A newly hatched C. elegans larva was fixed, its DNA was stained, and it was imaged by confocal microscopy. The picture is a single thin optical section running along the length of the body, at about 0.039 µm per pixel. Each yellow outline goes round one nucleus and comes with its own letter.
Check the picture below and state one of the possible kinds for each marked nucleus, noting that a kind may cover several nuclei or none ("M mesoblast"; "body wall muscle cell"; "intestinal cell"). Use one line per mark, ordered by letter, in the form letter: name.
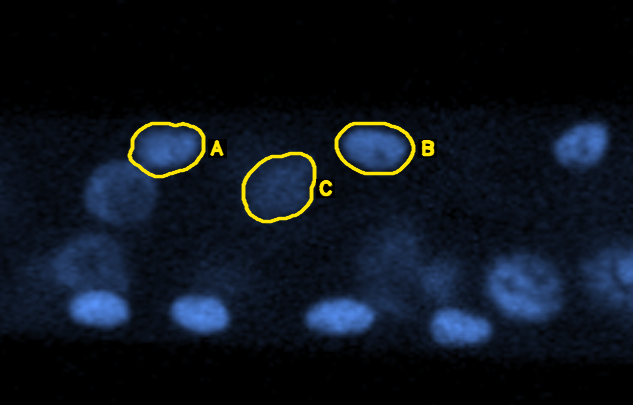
A: body wall muscle cell
B: body wall muscle cell
C: intestinal cell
